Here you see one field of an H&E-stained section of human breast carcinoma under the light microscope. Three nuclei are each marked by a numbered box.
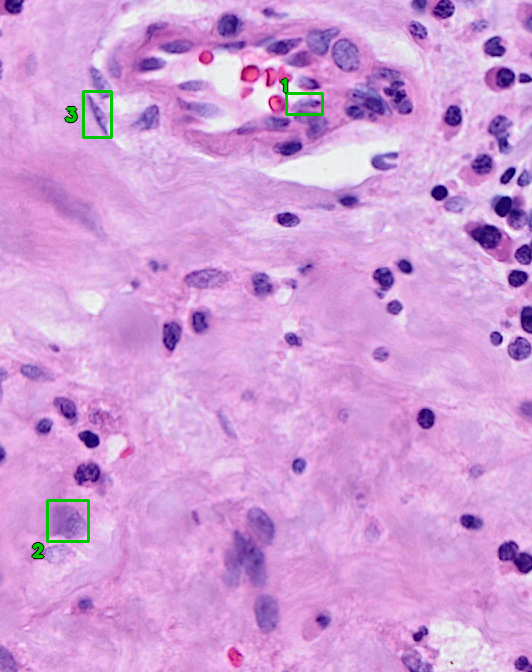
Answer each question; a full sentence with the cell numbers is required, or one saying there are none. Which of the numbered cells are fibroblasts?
When it comes to cells 2 and 3, they are fibroblasts.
